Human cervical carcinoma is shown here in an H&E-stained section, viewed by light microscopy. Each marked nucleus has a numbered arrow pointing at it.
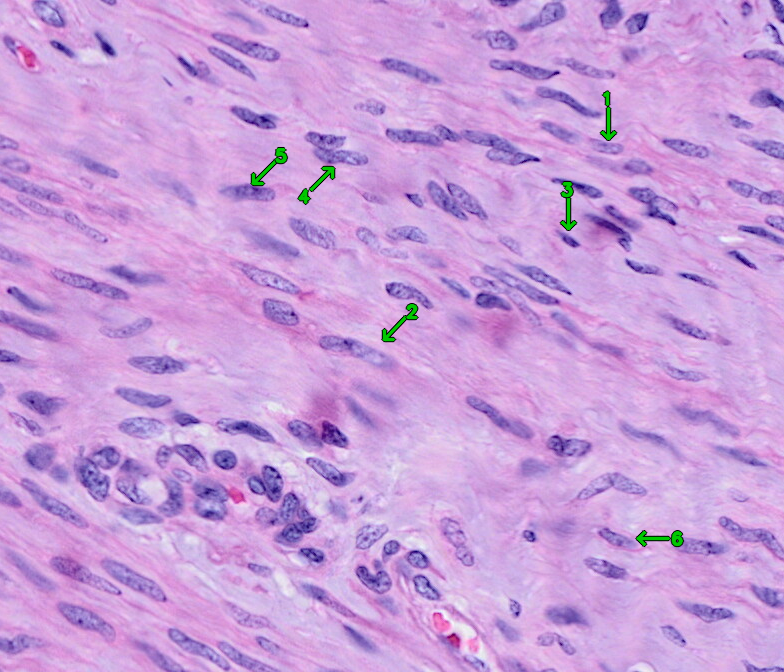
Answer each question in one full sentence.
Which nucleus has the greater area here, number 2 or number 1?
The larger nucleus is 2, at roughly 2 times the area of 1.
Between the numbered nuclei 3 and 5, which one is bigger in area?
Number 5 is larger; its area is about 4 times that of number 3.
